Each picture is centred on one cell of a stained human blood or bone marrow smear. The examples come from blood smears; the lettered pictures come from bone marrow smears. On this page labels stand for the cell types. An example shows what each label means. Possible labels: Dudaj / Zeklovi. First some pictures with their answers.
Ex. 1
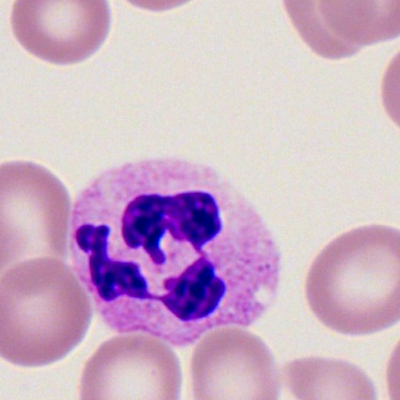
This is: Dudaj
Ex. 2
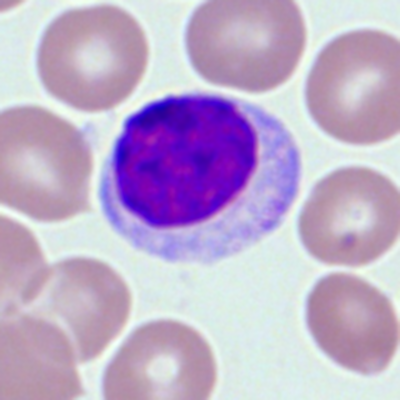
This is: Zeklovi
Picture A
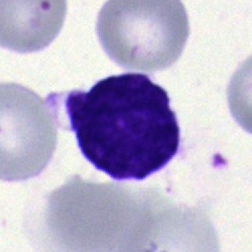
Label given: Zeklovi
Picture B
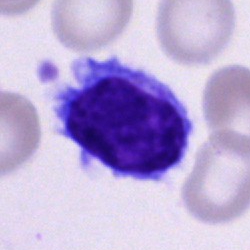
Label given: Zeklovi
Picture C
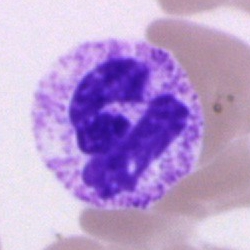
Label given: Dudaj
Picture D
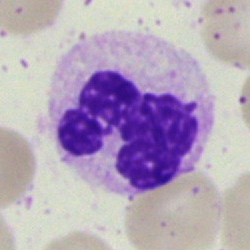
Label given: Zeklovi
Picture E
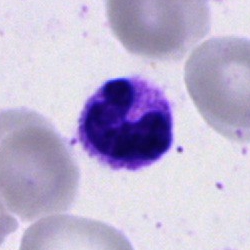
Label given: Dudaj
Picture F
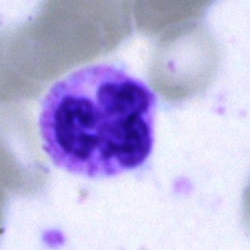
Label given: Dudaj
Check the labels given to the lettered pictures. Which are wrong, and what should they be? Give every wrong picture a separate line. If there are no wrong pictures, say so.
D: not Zeklovi but Dudaj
